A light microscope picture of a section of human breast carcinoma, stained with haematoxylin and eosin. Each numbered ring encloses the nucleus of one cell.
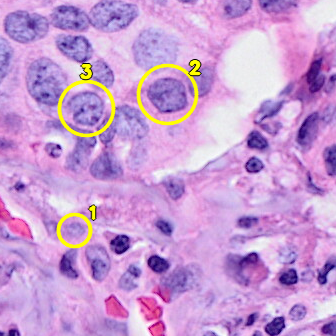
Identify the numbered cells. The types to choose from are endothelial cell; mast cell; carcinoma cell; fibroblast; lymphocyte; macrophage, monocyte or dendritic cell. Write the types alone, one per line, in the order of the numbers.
endothelial cell
carcinoma cell
carcinoma cell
